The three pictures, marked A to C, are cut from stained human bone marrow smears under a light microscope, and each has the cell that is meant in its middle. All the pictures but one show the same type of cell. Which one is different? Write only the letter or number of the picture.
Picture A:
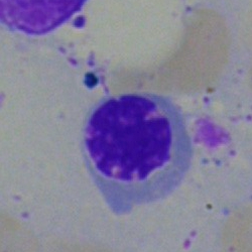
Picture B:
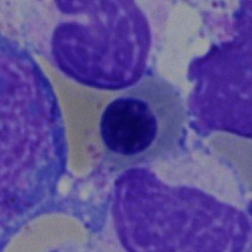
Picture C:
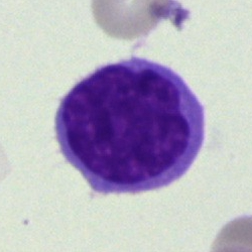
C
